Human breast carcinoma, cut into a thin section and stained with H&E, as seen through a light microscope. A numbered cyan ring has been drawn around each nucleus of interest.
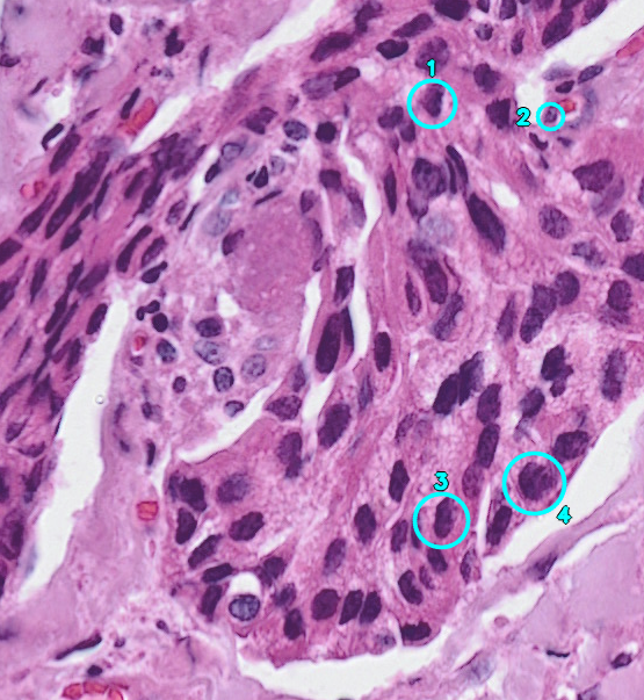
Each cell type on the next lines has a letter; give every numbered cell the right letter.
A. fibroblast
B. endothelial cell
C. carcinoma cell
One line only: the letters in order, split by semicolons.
C; B; C; C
